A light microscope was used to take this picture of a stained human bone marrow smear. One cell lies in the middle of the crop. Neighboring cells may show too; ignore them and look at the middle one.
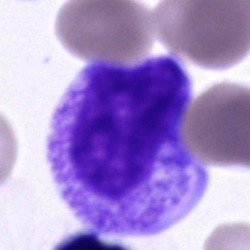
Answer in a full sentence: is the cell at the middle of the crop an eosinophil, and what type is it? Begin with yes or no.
No, the cell in the middle should be called a promyelocyte instead of an eosinophil.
